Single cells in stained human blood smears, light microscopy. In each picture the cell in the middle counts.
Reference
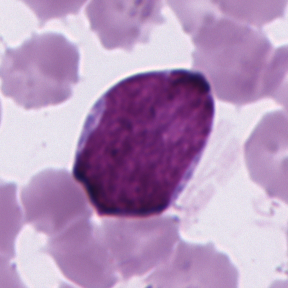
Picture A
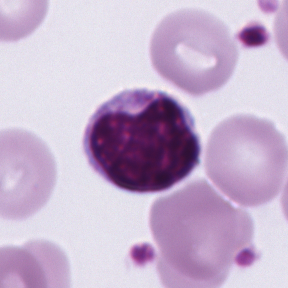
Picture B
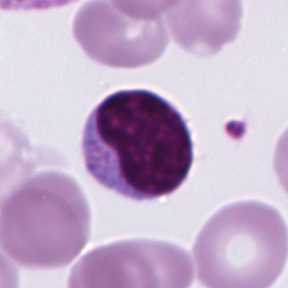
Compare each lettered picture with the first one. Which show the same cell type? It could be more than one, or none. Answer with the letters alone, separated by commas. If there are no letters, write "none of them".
none of them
